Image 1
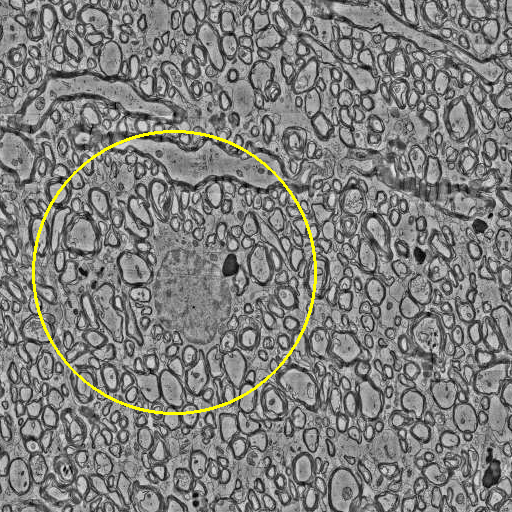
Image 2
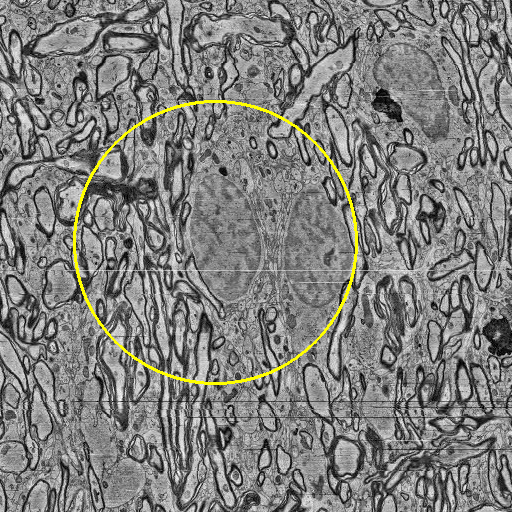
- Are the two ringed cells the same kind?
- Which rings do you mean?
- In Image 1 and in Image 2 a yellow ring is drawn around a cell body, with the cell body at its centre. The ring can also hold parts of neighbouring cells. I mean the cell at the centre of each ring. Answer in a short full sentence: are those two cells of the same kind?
Yes, both cells are of the same kind.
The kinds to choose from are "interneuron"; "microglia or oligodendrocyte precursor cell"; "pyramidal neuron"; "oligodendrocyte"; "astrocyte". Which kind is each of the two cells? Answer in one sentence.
Each of the two cells is an oligodendrocyte.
